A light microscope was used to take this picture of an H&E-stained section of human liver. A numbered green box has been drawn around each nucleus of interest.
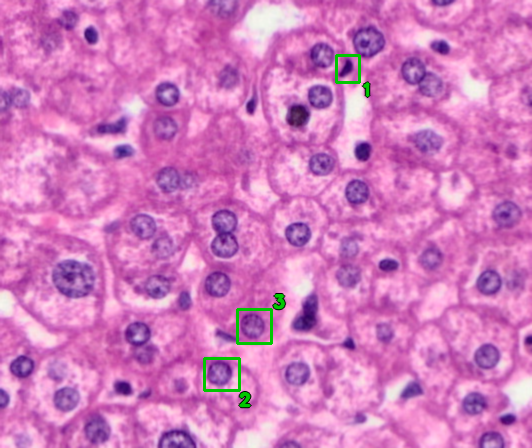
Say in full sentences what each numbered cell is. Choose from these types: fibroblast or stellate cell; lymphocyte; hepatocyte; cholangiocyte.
Cell 1 is a fibroblast or stellate cell, cell 2 is a hepatocyte and cell 3 is a hepatocyte.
